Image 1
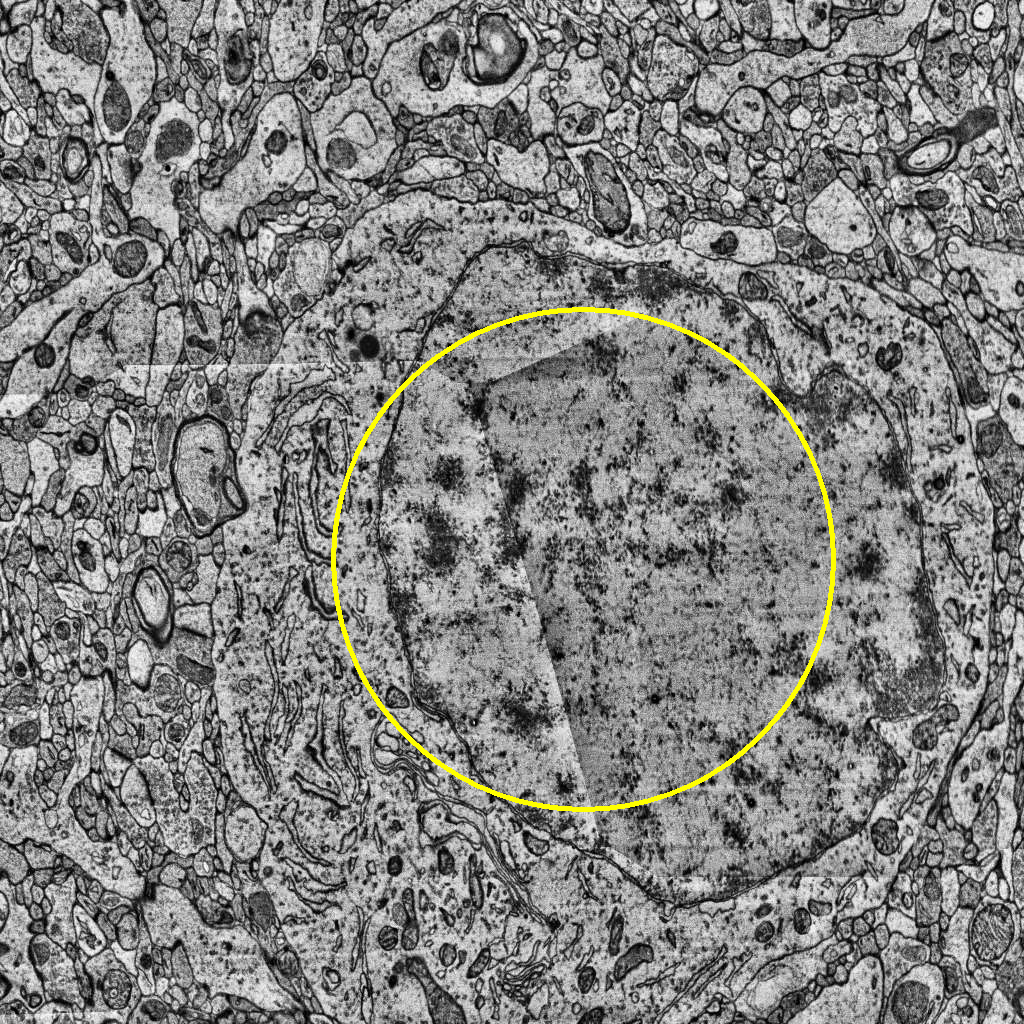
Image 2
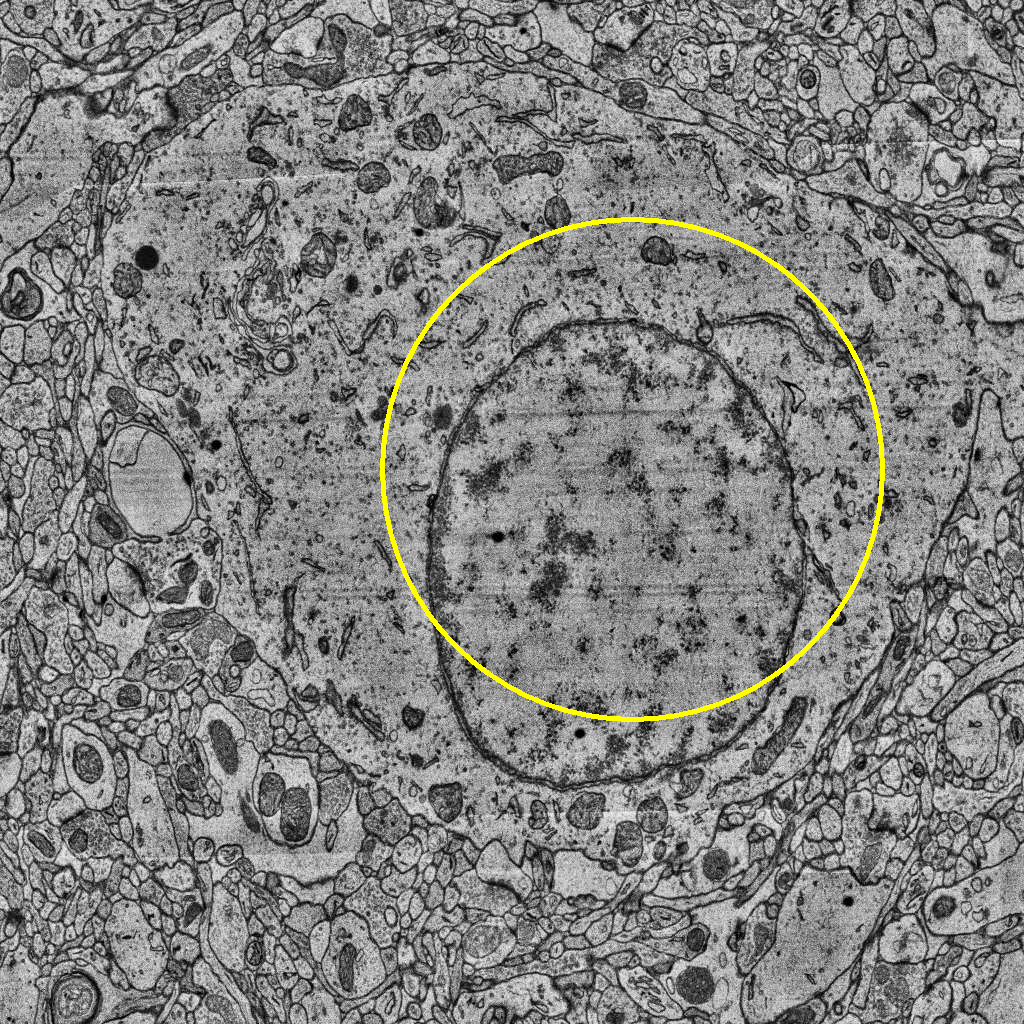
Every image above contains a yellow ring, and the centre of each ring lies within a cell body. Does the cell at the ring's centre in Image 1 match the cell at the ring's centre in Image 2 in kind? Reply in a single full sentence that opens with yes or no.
No, the cell at the ring's centre in Image 1 is a separate kind from that in Image 2.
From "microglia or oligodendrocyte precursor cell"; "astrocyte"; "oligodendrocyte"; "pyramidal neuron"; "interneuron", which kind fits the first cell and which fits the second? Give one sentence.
The ring in the first picture surrounds an interneuron, and the ring in the second surrounds a pyramidal neuron.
